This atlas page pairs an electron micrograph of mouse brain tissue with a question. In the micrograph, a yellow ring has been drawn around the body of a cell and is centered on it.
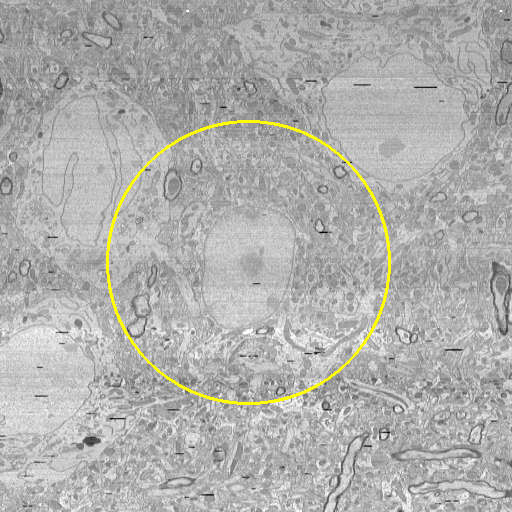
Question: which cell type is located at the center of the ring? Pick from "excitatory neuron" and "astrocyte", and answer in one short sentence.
Located at the center of the ring is an astrocyte.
